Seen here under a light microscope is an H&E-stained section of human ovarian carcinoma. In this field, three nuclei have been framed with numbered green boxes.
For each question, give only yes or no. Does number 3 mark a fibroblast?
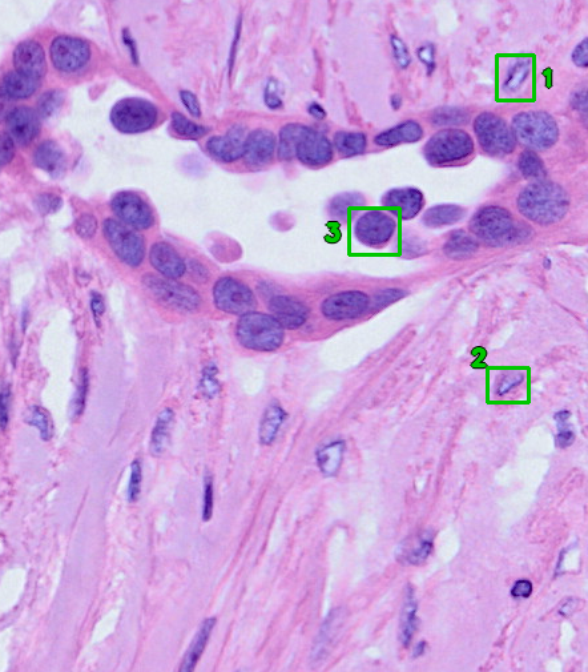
no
